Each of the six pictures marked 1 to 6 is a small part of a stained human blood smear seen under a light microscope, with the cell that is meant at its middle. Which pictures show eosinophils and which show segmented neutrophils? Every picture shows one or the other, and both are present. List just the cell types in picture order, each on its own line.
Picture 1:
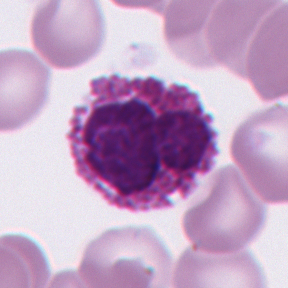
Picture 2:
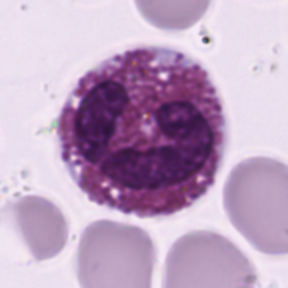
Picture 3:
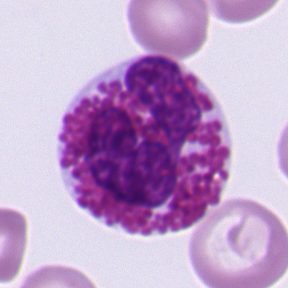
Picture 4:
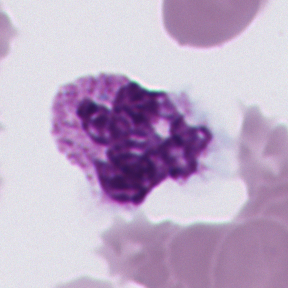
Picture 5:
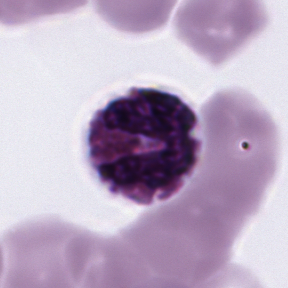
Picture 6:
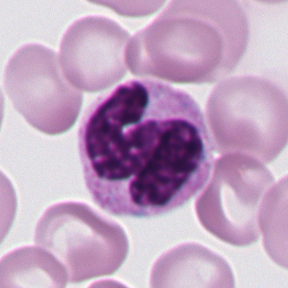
eosinophil
eosinophil
eosinophil
segmented neutrophil
eosinophil
segmented neutrophil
